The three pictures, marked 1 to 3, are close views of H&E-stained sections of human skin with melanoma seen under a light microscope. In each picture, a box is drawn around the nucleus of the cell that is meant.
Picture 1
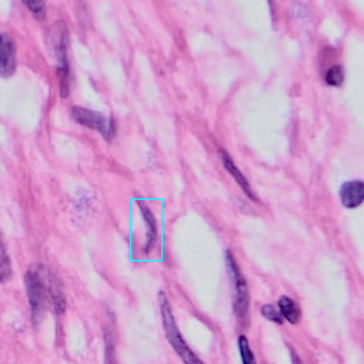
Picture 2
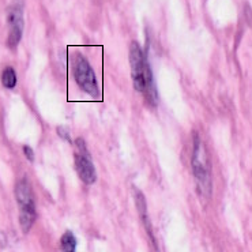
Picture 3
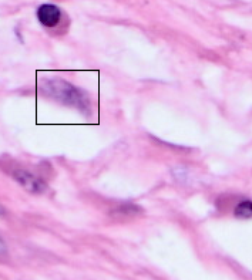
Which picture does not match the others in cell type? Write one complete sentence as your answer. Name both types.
All pictures except 2 show “fibroblasts or myofibroblasts”; picture 2 shows a “macrophage or monocyte”.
